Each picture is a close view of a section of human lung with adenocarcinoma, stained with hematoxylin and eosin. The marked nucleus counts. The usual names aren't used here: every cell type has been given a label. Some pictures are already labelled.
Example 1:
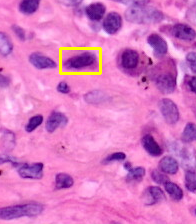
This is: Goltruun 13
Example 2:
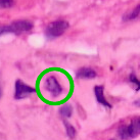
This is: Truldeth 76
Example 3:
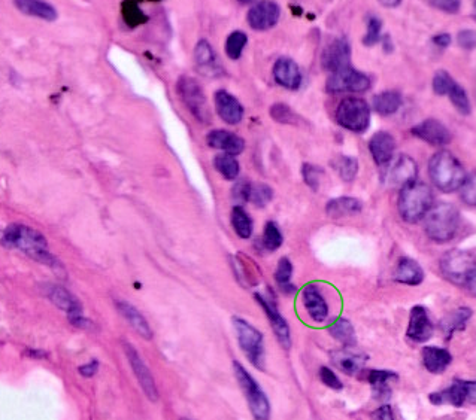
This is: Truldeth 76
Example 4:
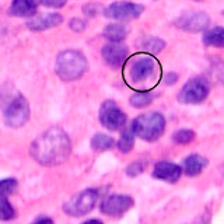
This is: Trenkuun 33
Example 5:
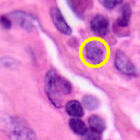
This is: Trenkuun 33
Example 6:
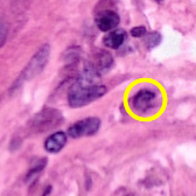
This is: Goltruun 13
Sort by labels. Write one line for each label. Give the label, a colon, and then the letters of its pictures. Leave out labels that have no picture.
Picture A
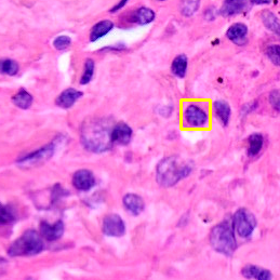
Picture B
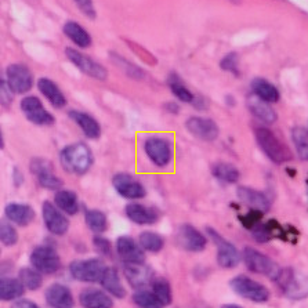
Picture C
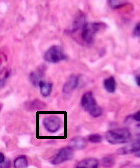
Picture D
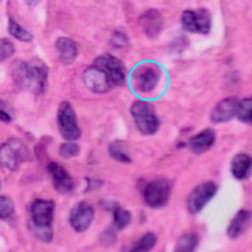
Truldeth 76: A, B
Trenkuun 33: C, D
